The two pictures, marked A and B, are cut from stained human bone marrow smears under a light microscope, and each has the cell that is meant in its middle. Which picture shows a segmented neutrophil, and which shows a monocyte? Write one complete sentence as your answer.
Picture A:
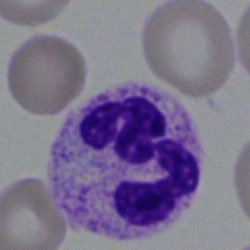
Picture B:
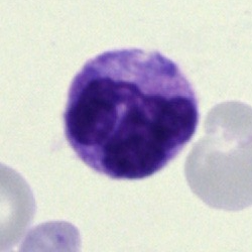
Picture B shows a monocyte, while picture A shows a segmented neutrophil.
